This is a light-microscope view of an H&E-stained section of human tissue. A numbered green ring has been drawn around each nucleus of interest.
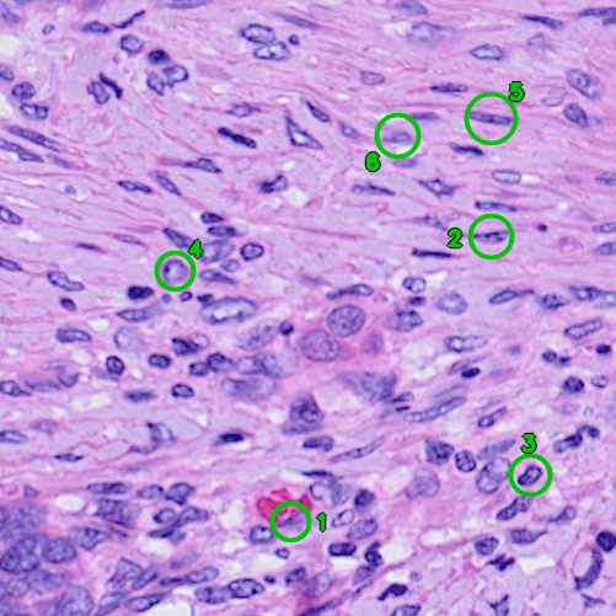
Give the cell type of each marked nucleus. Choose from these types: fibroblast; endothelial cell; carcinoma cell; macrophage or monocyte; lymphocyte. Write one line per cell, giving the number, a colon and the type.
1: endothelial cell
2: fibroblast
3: lymphocyte
4: fibroblast
5: fibroblast
6: fibroblast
